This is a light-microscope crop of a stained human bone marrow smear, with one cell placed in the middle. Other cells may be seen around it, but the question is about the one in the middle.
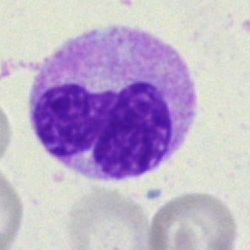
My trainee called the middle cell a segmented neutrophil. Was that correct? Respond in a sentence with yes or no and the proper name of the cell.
No, in the middle of the crop there is a band neutrophil rather than a segmented neutrophil.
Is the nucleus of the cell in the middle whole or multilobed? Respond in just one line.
Segmentation of the nucleus into two or more lobes is the finding.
